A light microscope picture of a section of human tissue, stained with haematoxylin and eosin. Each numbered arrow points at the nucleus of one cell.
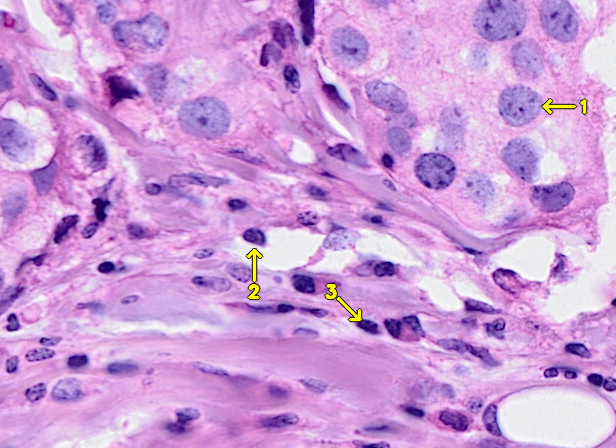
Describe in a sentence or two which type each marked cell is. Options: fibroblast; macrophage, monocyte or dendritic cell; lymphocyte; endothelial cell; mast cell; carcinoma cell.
Cell 1 is a carcinoma cell, cell 2 is a lymphocyte and cell 3 is a lymphocyte.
